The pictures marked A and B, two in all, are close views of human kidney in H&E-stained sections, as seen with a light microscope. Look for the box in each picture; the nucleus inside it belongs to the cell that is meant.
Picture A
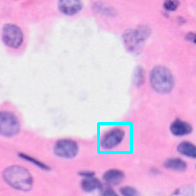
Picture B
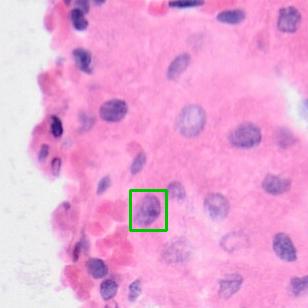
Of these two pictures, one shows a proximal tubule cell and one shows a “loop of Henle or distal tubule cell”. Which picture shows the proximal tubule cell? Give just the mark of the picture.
B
